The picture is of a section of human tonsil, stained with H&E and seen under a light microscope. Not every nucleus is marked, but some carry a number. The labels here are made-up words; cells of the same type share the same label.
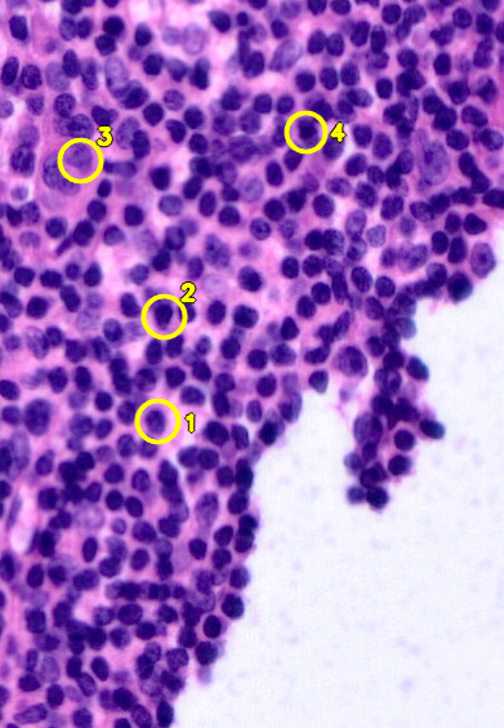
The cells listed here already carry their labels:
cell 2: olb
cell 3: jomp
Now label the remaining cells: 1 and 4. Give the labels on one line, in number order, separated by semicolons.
olb; olb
